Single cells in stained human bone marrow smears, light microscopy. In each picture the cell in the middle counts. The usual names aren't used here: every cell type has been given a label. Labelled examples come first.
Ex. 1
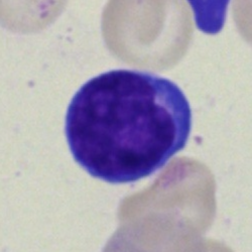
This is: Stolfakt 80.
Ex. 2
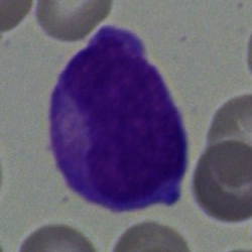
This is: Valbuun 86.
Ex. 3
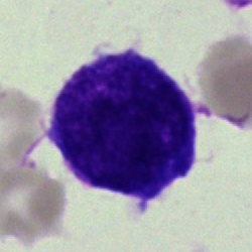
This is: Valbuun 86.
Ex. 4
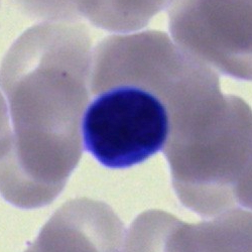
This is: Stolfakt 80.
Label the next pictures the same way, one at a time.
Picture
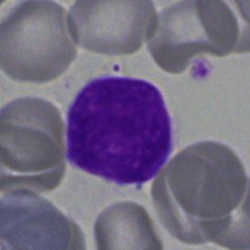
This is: Stolfakt 80.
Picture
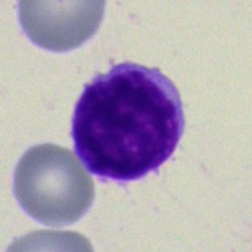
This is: Stolfakt 80.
